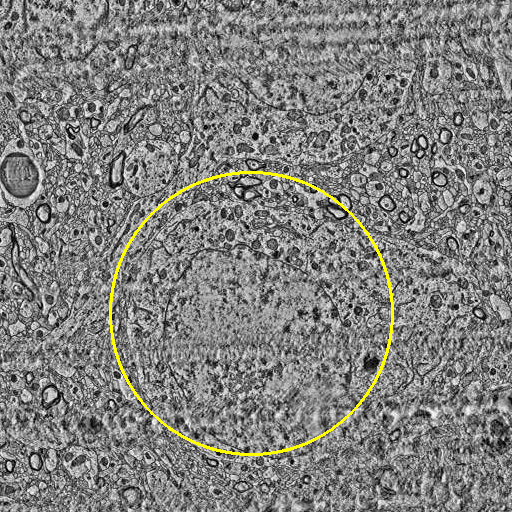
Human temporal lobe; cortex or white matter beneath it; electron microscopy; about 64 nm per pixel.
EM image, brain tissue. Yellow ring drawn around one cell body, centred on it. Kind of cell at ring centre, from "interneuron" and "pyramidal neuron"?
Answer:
pyramidal neuron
